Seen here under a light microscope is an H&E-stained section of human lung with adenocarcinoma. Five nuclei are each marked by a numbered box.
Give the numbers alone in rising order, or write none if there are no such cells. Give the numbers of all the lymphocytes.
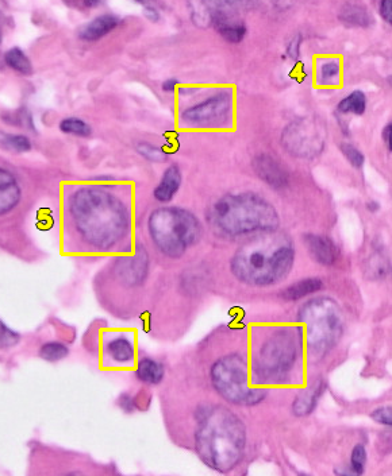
1, 4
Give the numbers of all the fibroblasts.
3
